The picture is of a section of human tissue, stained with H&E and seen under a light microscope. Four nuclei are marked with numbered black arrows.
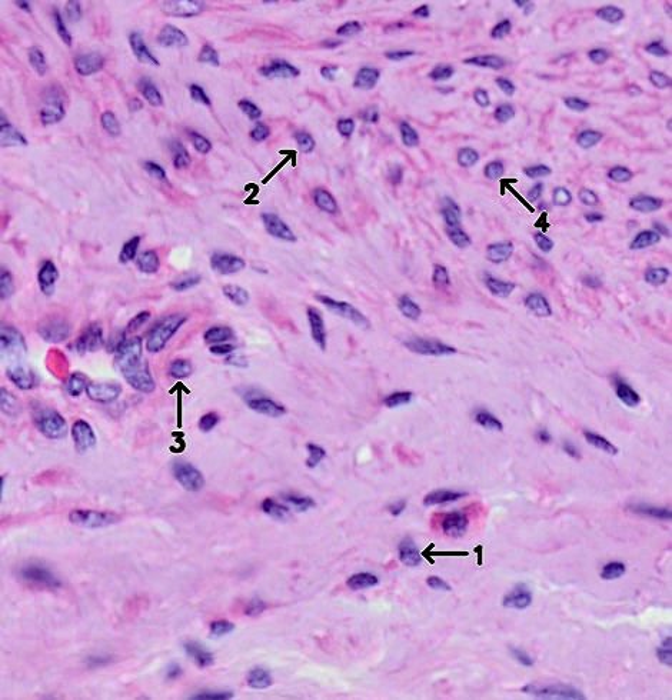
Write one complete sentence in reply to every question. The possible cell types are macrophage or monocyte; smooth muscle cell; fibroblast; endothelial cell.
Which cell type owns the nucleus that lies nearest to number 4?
Number 4 lies closest to the nucleus of a smooth muscle cell.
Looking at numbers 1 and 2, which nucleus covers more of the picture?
At about 2 times the area of nucleus 2, nucleus 1 is the larger of the two.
